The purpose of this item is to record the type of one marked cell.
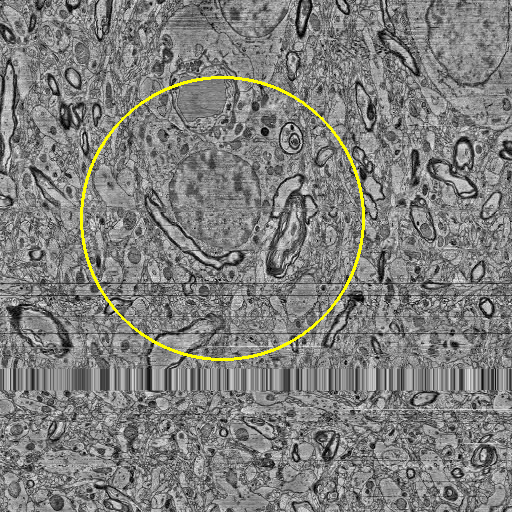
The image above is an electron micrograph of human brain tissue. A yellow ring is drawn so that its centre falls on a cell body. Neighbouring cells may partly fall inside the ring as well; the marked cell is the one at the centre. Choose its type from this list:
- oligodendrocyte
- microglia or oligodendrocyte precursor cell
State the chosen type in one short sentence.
What the ring marks here is an oligodendrocyte.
